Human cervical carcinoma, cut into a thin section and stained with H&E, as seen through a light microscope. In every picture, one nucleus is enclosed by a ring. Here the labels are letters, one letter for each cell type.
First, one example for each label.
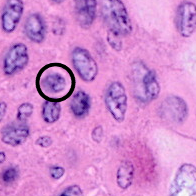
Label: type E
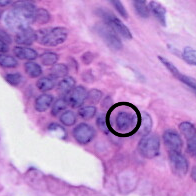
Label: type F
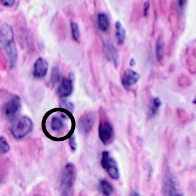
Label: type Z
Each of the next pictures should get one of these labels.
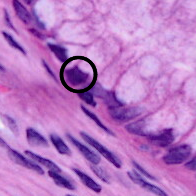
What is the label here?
type F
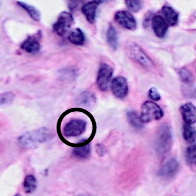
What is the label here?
type Z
